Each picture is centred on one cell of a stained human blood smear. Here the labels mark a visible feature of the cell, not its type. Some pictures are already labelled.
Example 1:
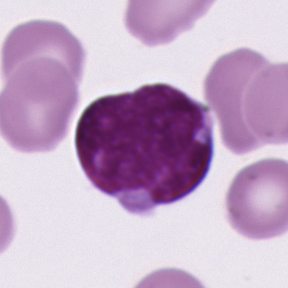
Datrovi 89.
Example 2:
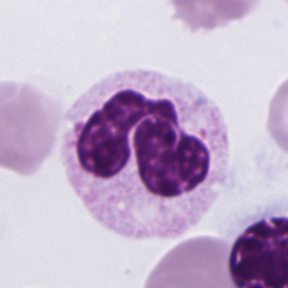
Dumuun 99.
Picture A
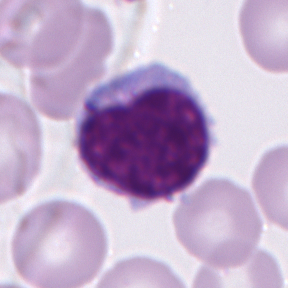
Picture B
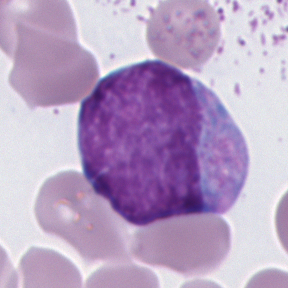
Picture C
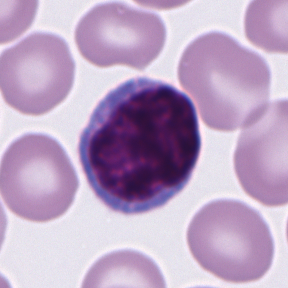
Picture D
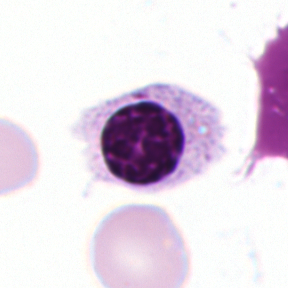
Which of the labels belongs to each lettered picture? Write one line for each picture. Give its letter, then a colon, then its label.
A: Datrovi 89.
B: Dumuun 99.
C: Dumuun 99.
D: Datrovi 89.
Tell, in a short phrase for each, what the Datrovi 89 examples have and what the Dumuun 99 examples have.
In Datrovi 89: ragged outline or projections. In Dumuun 99: smooth outline.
